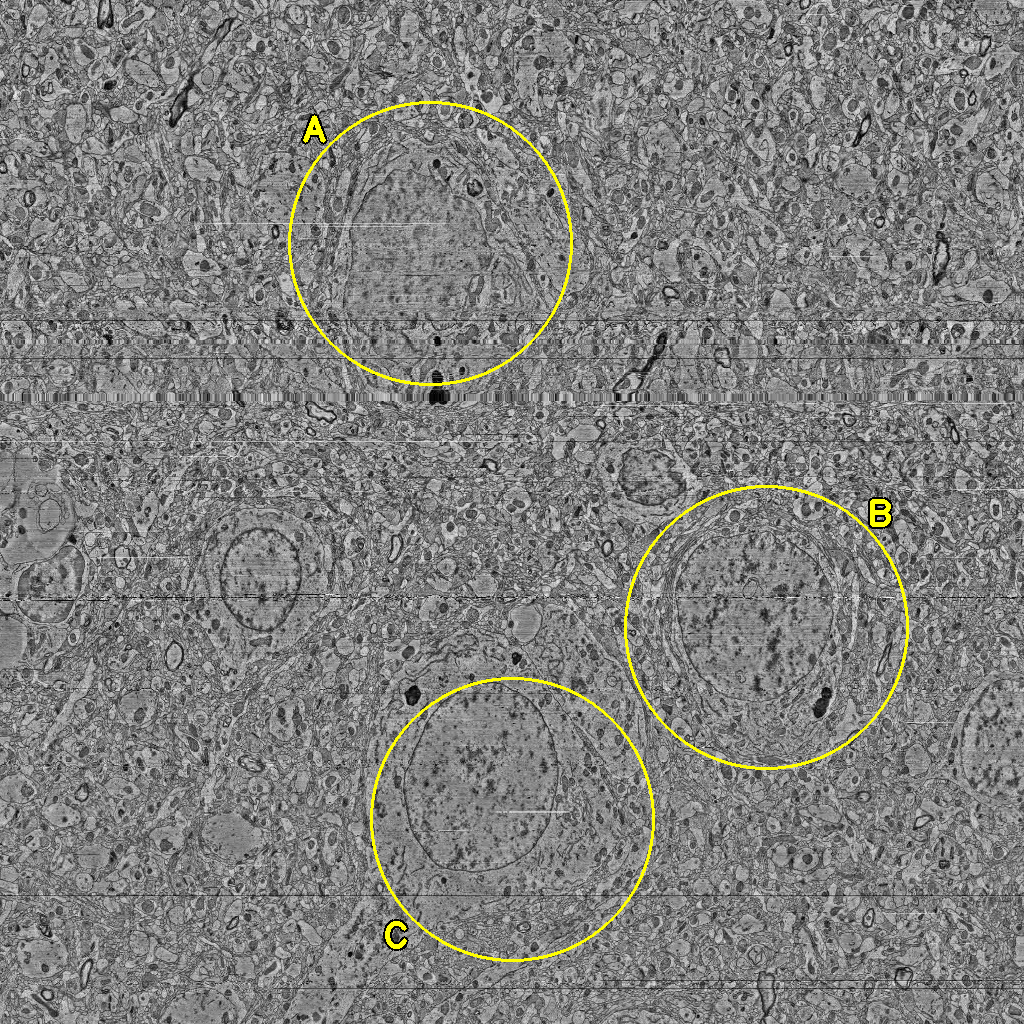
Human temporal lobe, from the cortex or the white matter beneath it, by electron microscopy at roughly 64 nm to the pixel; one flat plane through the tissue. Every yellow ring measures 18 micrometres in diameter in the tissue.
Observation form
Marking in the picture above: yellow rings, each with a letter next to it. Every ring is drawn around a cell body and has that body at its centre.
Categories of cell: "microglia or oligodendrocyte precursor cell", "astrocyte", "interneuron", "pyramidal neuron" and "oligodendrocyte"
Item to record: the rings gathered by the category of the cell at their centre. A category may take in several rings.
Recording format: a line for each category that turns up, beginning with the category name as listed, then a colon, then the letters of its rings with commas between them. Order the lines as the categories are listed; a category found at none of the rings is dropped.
interneuron: A
pyramidal neuron: B, C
